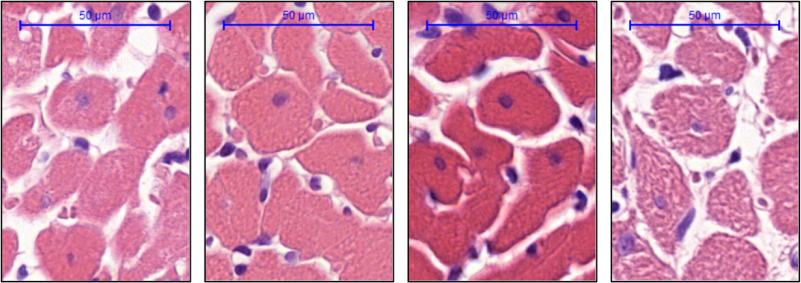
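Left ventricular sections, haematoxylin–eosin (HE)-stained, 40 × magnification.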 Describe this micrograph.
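Heart muscle cut in cross-section, showing cardiomyocytes as large rounded to polygonal pink profiles. The cells are separated by narrow pale interstitial spaces, in which small, dark, often elongated nuclei of interstitial cells such as fibroblasts and capillary endothelial cells lie. Cell sizes vary between profiles, and in one of the four images the cytoplasm stains a deeper, more intense red, while in another it looks paler and more mottled.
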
